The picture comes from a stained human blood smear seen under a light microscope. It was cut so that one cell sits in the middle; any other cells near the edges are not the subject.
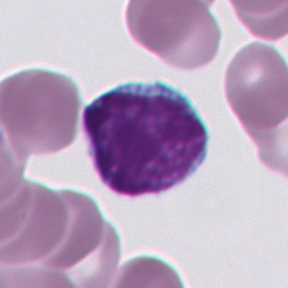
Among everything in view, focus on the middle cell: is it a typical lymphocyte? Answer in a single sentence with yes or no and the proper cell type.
Yes, the cell in the middle of the view is a typical lymphocyte.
